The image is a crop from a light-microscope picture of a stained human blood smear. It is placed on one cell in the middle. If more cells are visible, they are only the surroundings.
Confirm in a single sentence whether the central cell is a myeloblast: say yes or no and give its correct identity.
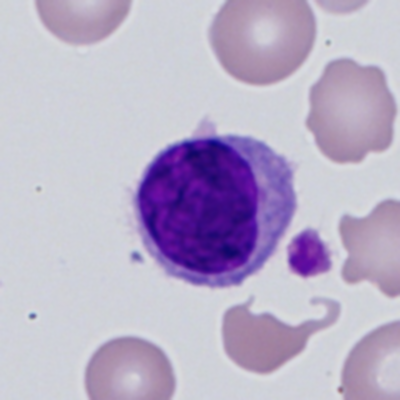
No, the cell positioned in the middle is a lymphocyte, not a myeloblast.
